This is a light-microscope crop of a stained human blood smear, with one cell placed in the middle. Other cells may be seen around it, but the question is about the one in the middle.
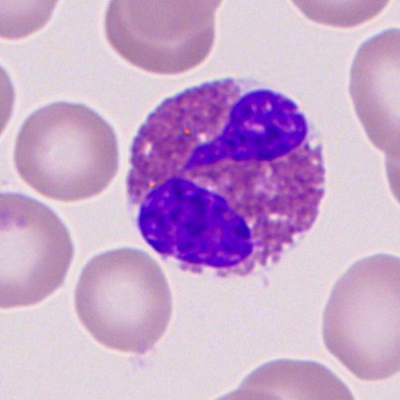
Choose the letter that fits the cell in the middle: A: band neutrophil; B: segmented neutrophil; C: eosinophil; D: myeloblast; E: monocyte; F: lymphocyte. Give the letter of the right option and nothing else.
C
